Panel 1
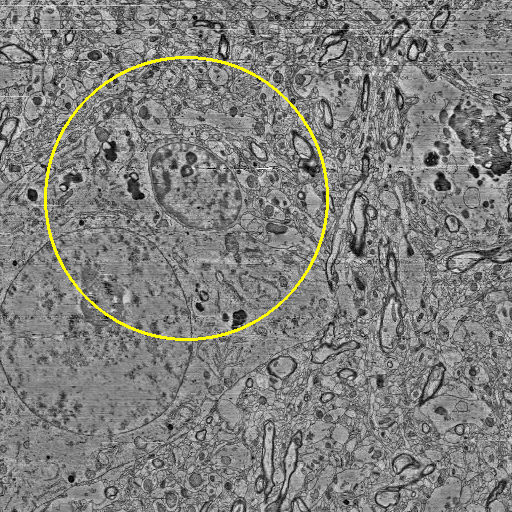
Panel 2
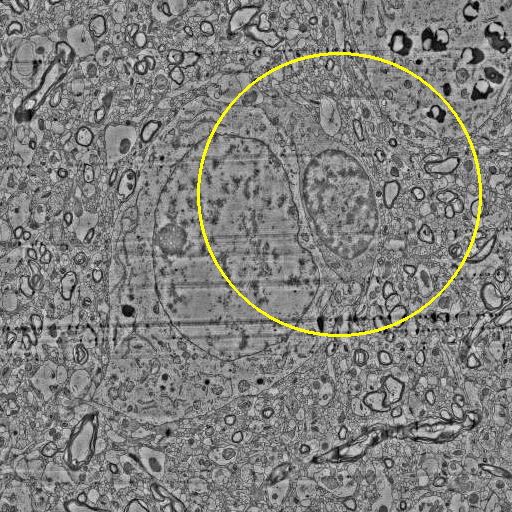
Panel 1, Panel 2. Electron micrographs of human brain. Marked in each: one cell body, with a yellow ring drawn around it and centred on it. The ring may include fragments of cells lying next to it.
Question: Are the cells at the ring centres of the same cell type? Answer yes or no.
yes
